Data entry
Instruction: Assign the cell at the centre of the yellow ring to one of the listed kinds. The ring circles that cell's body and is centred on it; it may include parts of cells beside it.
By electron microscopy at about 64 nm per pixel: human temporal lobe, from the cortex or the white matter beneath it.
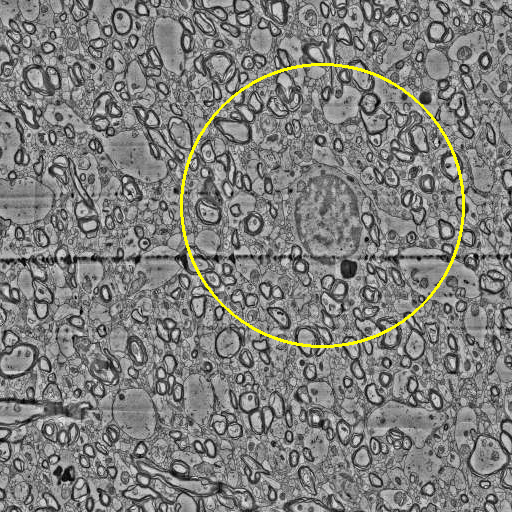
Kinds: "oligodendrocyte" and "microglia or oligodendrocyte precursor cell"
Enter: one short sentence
The centre of the ring falls on an oligodendrocyte.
